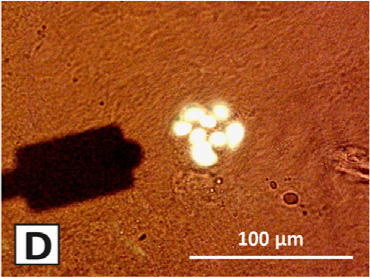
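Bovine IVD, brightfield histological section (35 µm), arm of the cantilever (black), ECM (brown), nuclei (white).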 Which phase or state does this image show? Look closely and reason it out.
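Clusters. About eight bright white nuclei are packed in one tight rounded group.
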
